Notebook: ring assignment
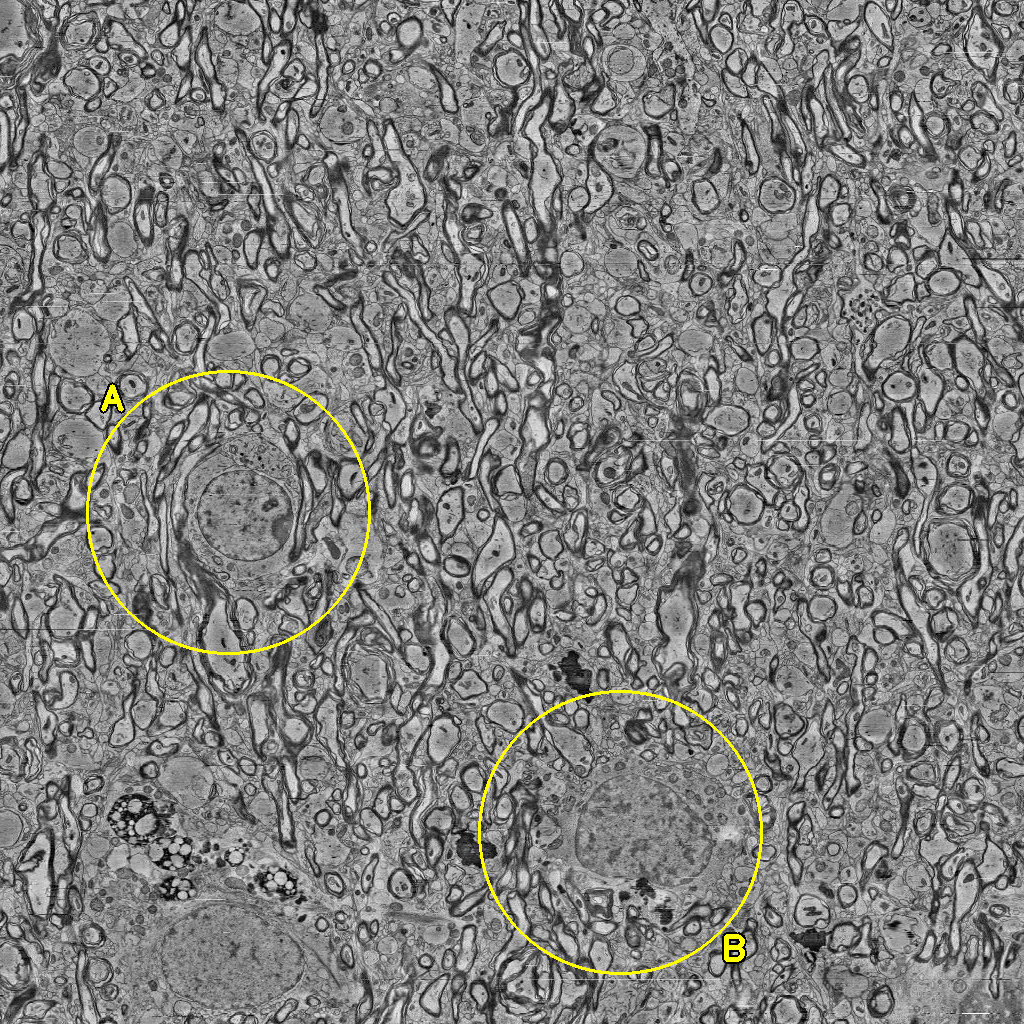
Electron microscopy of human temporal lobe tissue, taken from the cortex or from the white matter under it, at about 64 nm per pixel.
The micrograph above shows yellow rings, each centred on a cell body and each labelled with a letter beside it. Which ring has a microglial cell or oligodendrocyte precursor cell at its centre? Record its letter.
A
